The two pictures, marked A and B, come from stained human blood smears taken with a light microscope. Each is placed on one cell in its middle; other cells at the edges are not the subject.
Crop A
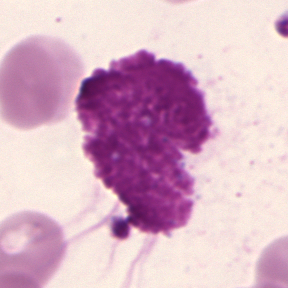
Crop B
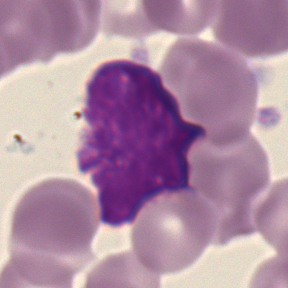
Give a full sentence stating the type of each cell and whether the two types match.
Yes, the cells in the centres of the two crops are smudge cells.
